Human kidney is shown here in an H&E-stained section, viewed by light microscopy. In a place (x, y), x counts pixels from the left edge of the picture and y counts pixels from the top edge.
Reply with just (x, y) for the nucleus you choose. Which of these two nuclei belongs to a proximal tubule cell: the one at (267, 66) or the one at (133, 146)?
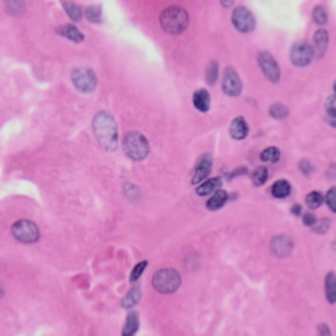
(133, 146)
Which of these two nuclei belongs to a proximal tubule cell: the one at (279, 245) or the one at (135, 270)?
(279, 245)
